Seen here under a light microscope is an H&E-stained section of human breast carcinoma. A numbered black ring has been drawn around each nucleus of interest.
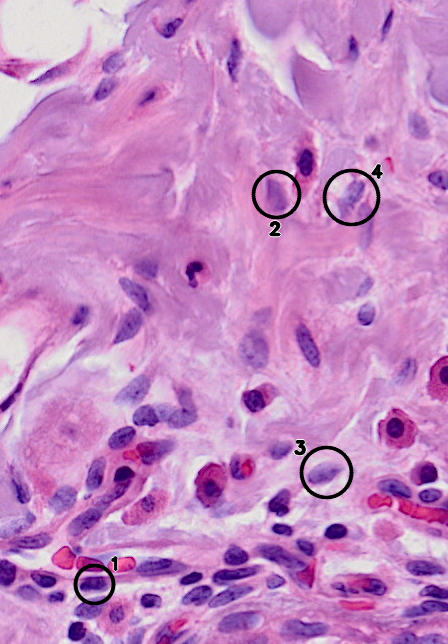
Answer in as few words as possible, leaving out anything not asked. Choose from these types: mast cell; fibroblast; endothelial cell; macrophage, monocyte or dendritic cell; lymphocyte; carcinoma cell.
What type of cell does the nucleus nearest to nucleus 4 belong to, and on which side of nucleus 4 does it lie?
a fibroblast, below and to the right of nucleus 4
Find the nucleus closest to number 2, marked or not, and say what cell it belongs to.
mast cell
